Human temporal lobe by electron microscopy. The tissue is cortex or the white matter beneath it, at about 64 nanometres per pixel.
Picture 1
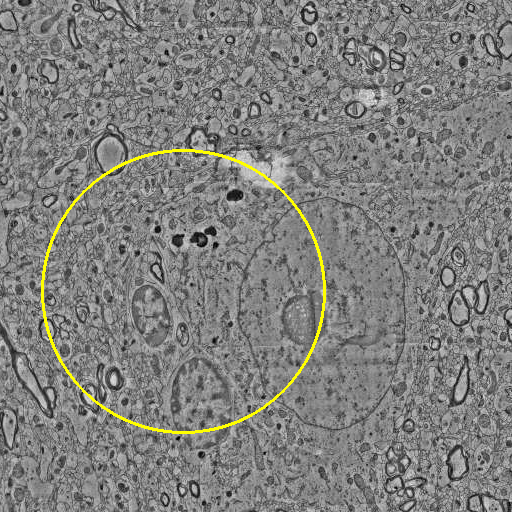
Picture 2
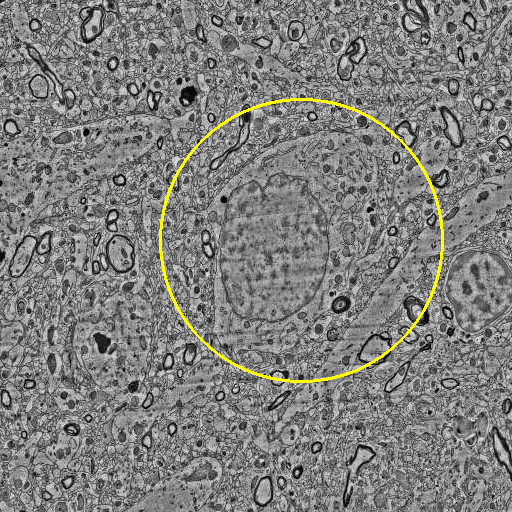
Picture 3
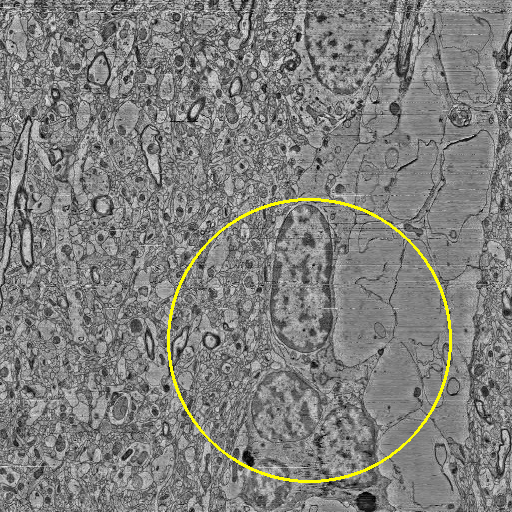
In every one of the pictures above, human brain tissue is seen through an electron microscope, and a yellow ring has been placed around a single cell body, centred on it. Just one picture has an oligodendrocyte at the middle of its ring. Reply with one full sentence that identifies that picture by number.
It is picture 1 that shows the wanted cell at its ring's centre.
